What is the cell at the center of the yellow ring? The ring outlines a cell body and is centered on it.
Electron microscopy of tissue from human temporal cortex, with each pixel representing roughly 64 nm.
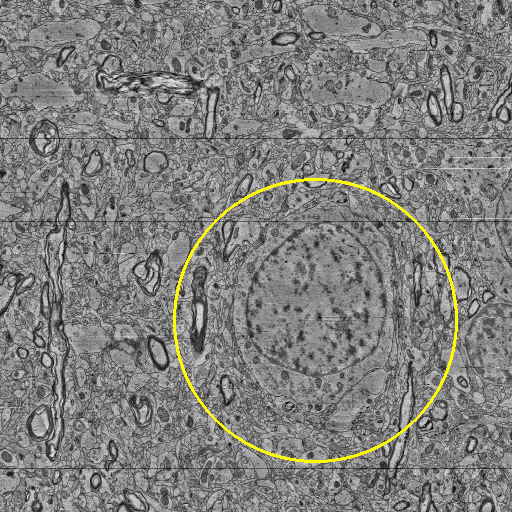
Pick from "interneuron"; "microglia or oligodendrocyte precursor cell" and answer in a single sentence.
The yellow ring is centered on an interneuron.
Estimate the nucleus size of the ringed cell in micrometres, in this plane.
In this plane, the nucleus measures approximately 10 micrometres across.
